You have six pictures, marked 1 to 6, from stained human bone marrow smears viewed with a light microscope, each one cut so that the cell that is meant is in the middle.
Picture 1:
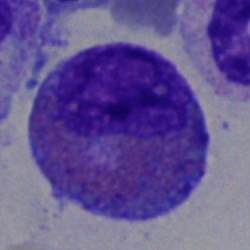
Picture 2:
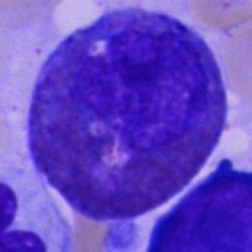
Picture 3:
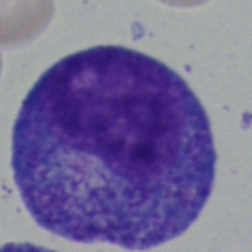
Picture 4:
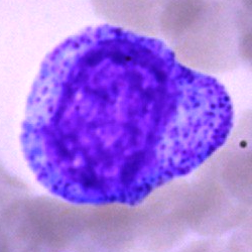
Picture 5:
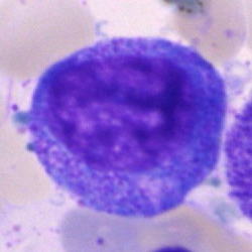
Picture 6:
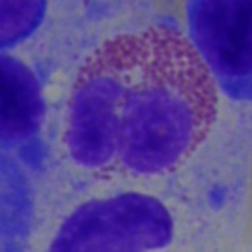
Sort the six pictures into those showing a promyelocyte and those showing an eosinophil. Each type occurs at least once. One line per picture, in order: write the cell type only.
eosinophil
eosinophil
promyelocyte
promyelocyte
promyelocyte
eosinophil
